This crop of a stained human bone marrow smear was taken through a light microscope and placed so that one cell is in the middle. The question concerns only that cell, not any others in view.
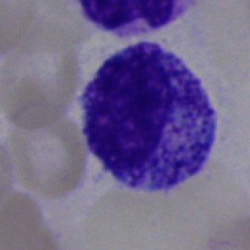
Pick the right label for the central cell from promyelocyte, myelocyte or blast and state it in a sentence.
This crop's central cell is a promyelocyte.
